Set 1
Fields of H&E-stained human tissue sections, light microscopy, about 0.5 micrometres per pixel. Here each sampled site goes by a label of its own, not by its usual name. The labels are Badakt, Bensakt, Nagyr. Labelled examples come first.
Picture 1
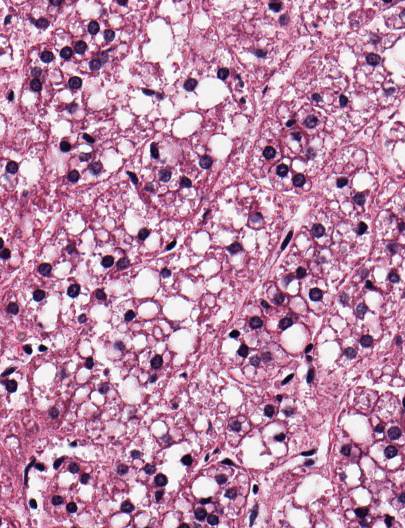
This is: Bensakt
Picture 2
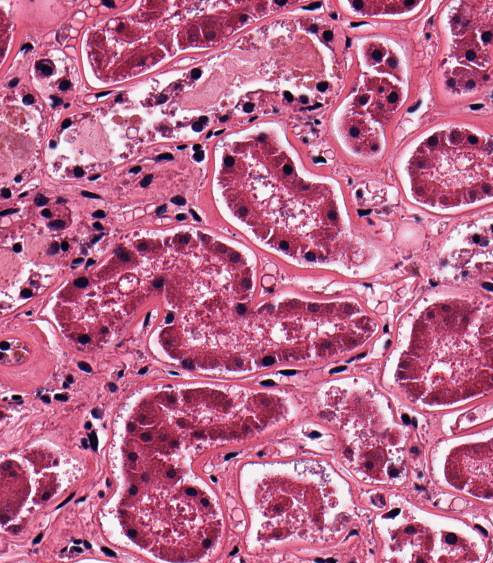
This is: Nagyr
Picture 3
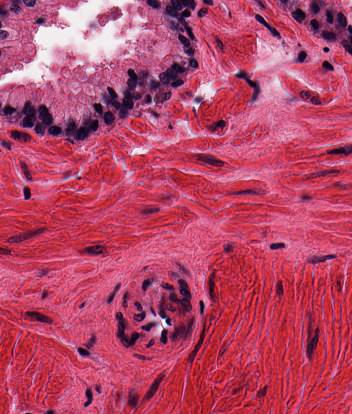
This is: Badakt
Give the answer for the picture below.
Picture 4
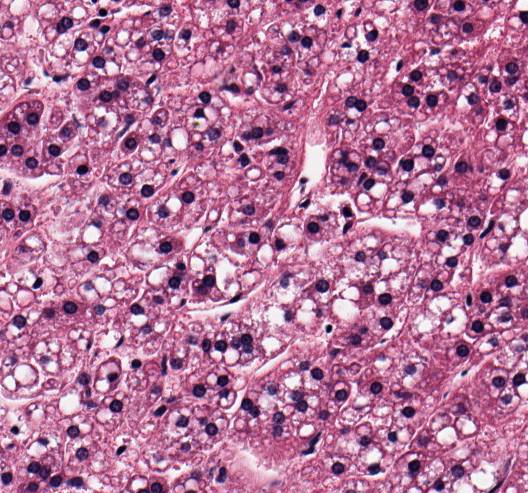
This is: Bensakt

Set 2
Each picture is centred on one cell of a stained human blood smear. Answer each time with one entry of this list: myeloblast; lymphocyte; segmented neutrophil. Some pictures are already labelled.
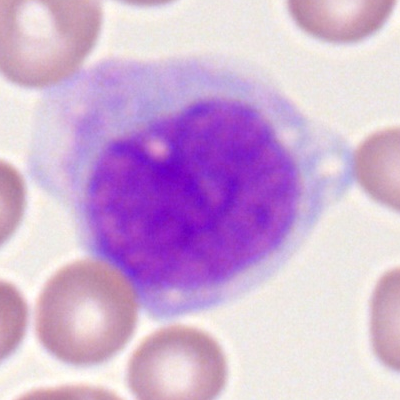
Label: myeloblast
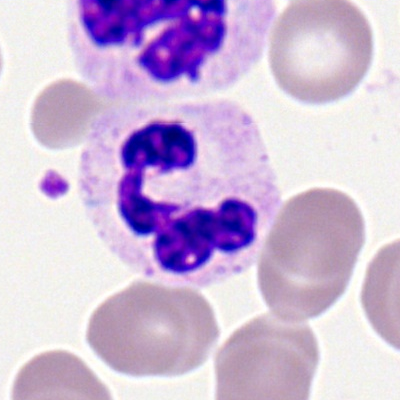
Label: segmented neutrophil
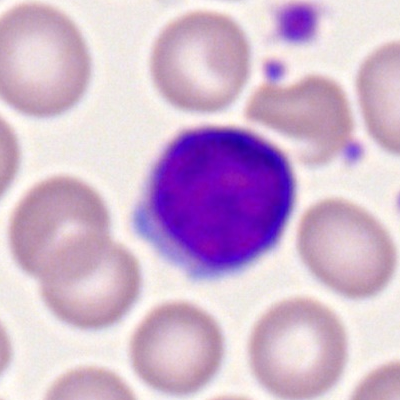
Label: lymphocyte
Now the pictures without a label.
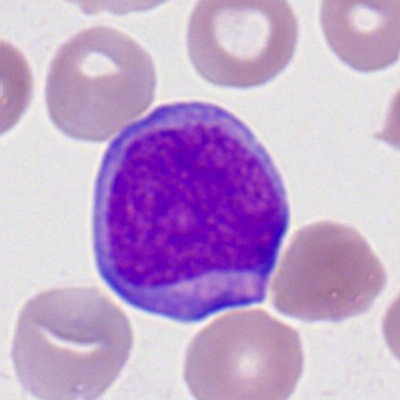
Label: myeloblast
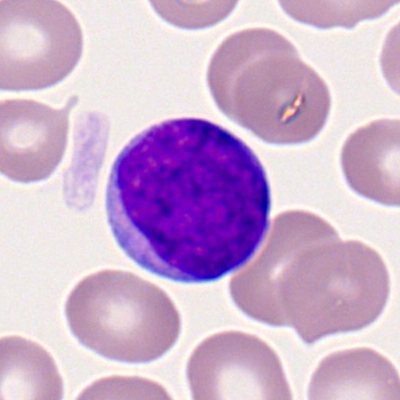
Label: myeloblast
